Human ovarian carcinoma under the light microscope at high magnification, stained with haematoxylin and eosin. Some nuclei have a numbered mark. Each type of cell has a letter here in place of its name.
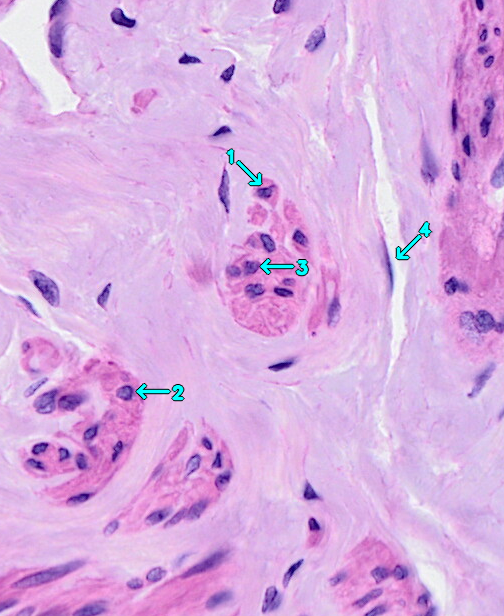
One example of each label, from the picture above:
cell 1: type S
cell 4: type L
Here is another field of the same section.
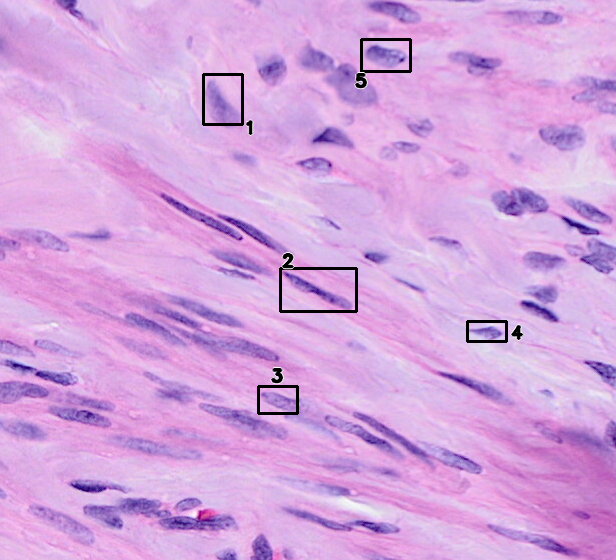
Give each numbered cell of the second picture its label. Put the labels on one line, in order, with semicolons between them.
type L; type S; type S; type L; type L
